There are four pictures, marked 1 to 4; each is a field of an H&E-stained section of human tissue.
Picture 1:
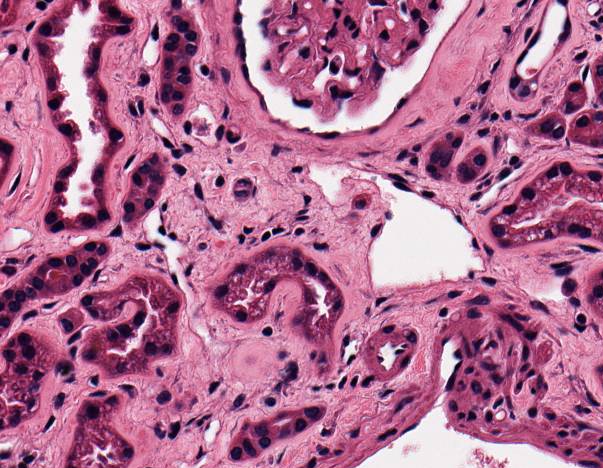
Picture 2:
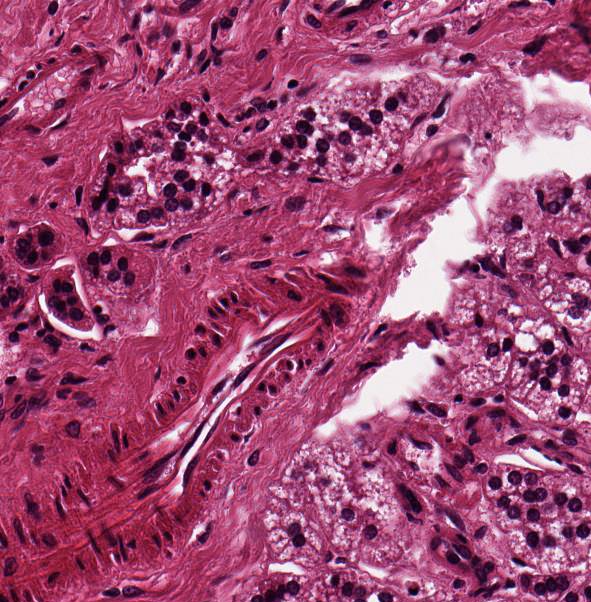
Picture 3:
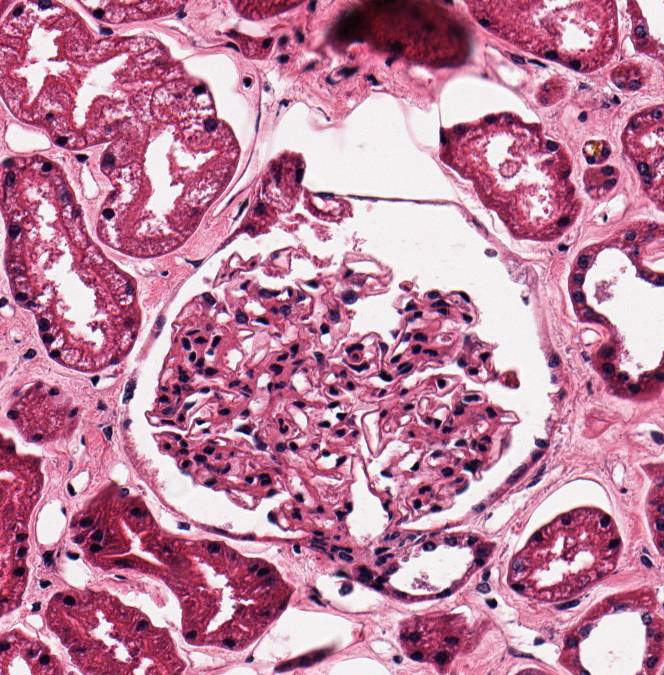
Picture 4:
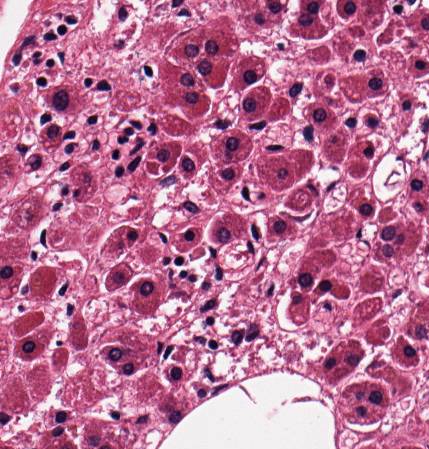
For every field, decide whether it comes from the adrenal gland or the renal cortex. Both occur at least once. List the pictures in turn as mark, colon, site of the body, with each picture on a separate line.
1: renal cortex
2: adrenal gland
3: renal cortex
4: adrenal gland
